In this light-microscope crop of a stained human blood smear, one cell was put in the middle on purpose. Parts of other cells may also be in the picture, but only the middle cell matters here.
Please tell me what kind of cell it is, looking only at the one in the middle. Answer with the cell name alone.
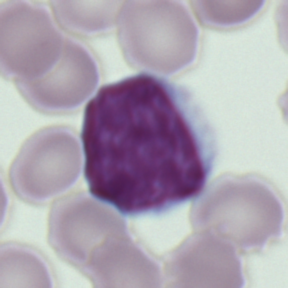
typical lymphocyte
